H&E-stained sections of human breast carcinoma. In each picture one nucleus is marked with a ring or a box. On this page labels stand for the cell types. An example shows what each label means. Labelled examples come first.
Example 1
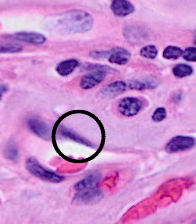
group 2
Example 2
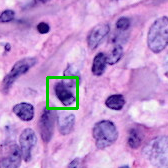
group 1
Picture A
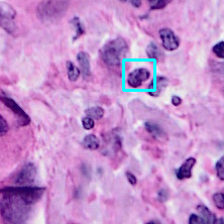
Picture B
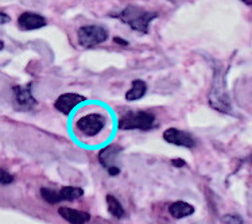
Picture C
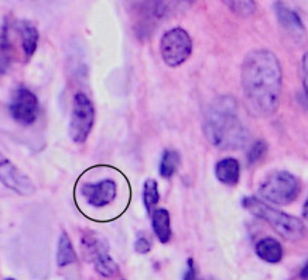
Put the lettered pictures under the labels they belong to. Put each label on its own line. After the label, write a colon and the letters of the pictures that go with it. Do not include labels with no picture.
group 1: A, B, C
